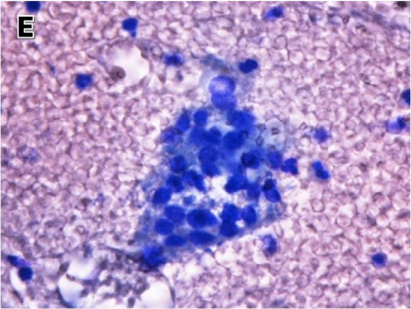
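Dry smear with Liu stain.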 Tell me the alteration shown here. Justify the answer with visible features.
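Bloody background. The background is packed with innumerable red blood cells. A small cluster of blue-stained nuclei sits in the blood.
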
